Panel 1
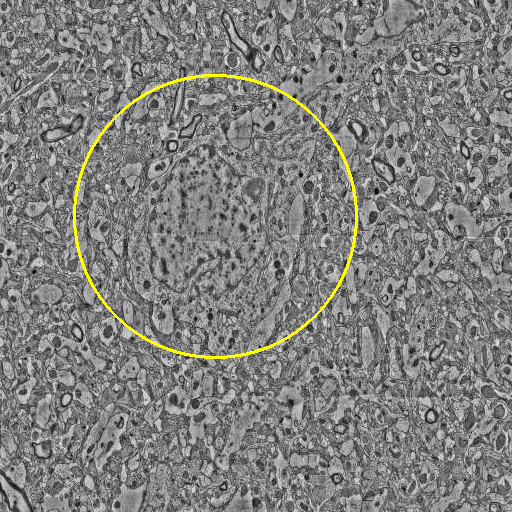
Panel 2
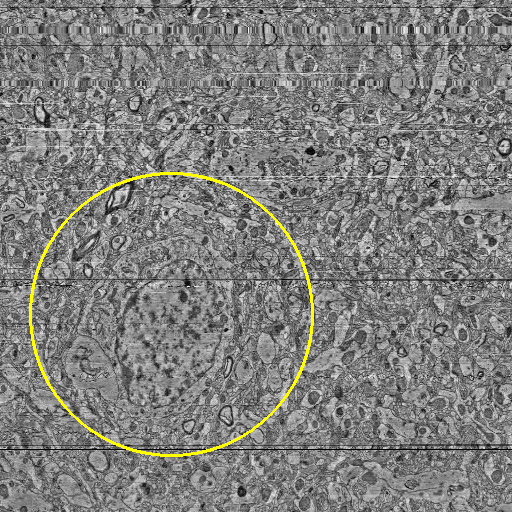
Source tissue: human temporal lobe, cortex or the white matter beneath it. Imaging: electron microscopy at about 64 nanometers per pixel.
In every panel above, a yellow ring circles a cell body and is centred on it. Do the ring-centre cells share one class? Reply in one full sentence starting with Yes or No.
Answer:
Yes, the two cells at the ring centres in the panels belong to one class.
